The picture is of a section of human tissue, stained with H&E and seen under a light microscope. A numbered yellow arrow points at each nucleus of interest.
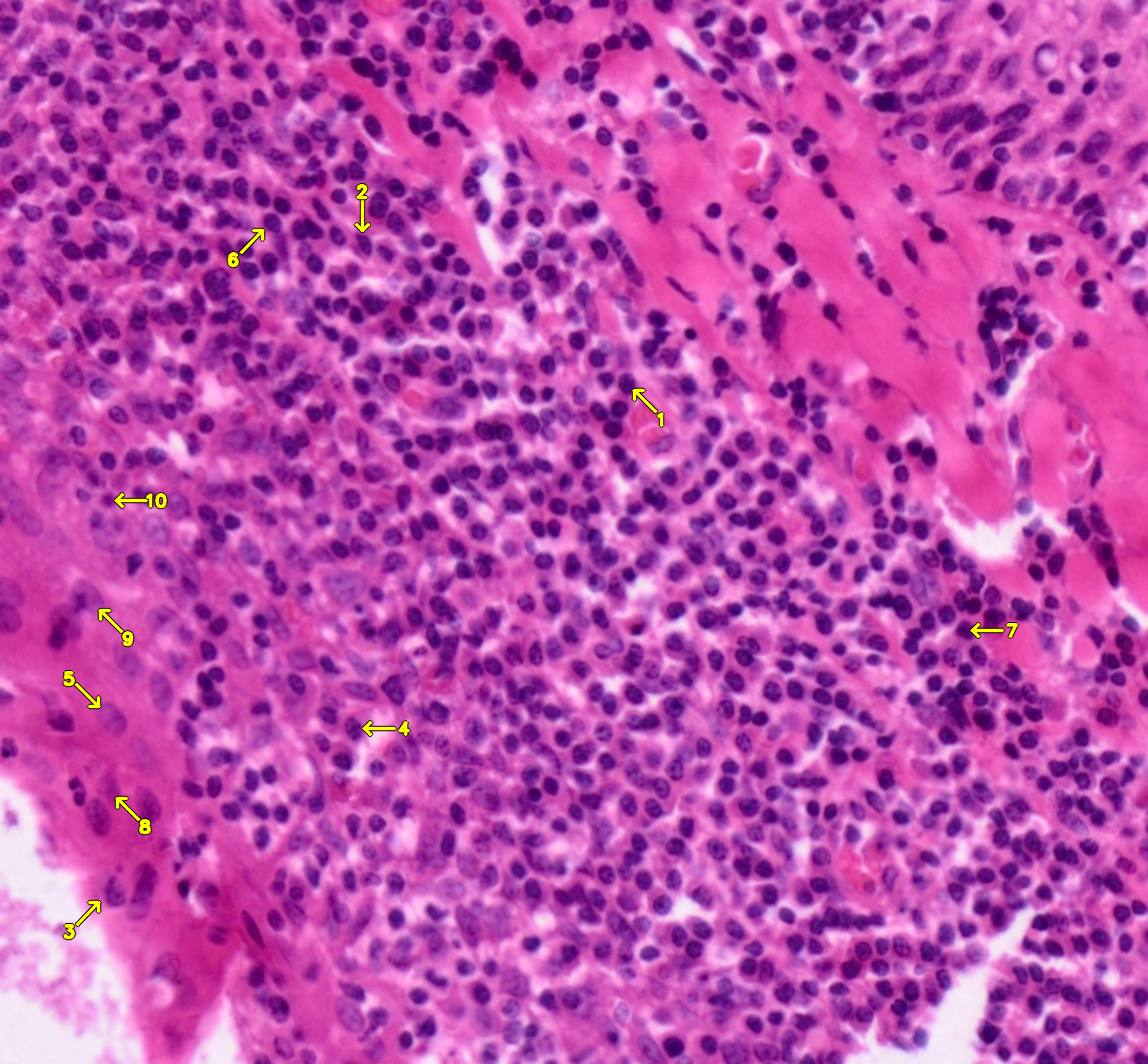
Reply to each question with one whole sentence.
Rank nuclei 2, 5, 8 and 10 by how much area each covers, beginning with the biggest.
Largest first, the order by area is 5, 8, 2, 10.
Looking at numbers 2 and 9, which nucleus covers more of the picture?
Nucleus 9 covers more area, about 2.5 times as much as nucleus 2.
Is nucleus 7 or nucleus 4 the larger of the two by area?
Of the two, number 4 is bigger and takes up about 1.5 times the area of number 7.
